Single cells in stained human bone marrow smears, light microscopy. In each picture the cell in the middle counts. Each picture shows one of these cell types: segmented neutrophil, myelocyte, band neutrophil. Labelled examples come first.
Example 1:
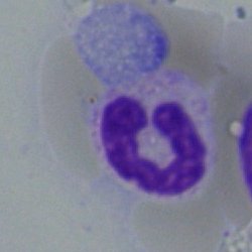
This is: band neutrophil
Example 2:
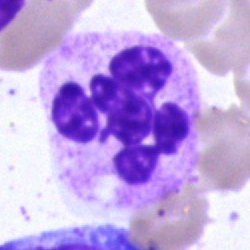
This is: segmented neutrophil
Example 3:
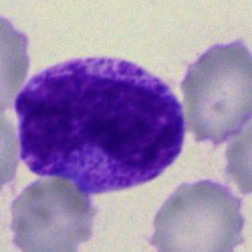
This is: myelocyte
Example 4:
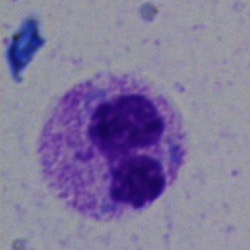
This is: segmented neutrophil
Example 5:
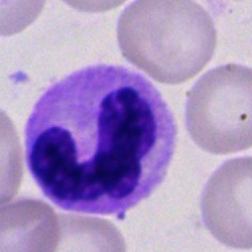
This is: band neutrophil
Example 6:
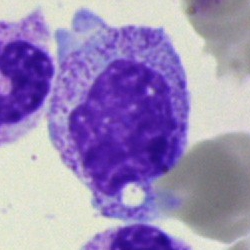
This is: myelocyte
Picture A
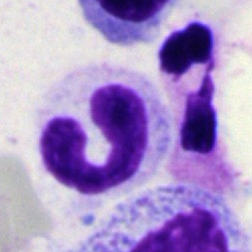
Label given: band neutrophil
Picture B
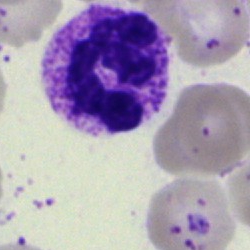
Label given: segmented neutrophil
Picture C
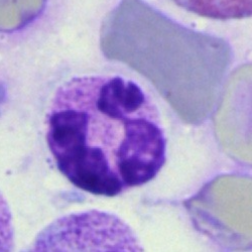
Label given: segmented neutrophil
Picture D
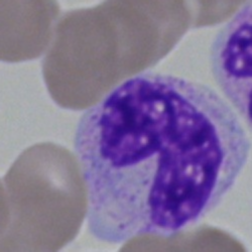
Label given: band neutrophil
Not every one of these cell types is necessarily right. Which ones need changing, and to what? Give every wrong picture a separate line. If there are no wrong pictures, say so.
A: segmented neutrophil, not band neutrophil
